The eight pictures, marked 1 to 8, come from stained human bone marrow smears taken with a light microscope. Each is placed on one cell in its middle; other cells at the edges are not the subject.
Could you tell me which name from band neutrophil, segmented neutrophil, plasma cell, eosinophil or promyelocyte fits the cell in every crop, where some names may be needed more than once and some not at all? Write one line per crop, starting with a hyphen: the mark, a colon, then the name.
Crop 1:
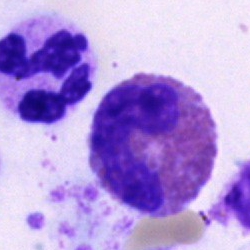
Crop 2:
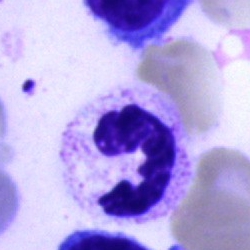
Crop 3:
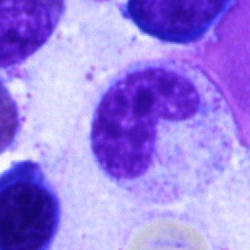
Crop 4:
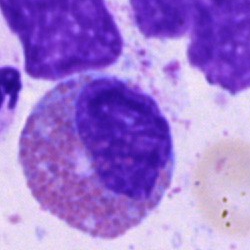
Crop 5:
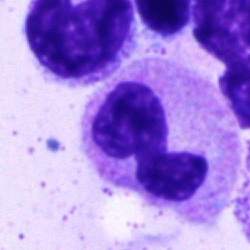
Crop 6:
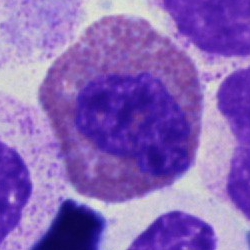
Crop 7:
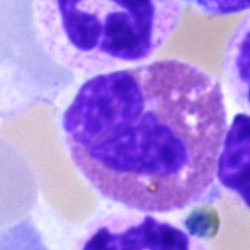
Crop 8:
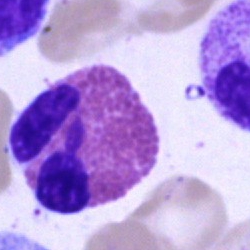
- 1: eosinophil
- 2: segmented neutrophil
- 3: band neutrophil
- 4: eosinophil
- 5: band neutrophil
- 6: eosinophil
- 7: eosinophil
- 8: eosinophil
